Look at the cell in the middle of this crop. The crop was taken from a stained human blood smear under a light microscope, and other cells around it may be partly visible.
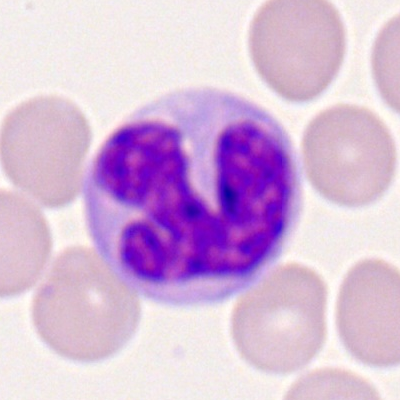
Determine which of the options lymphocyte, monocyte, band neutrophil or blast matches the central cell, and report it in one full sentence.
Classification of the middle cell gives a monocyte.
